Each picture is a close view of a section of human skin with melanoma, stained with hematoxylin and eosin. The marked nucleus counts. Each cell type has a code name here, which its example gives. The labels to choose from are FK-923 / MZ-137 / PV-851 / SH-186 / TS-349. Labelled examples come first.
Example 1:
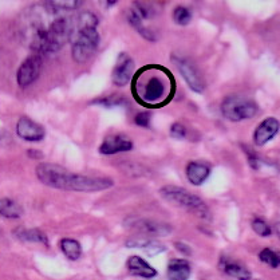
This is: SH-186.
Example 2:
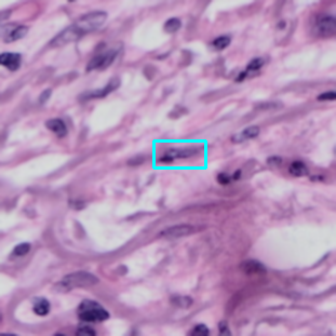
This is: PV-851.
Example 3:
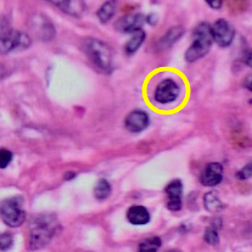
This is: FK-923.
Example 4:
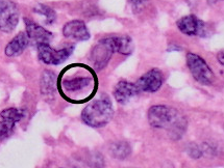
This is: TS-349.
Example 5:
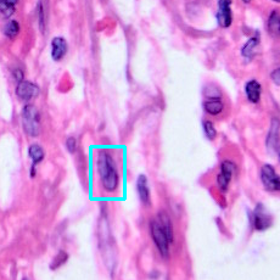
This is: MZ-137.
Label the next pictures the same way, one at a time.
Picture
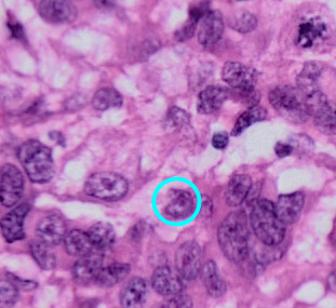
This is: TS-349.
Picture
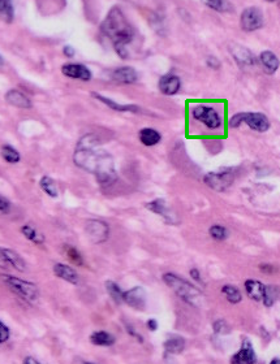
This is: SH-186.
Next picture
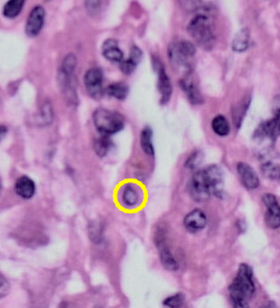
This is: MZ-137.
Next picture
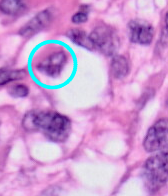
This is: TS-349.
